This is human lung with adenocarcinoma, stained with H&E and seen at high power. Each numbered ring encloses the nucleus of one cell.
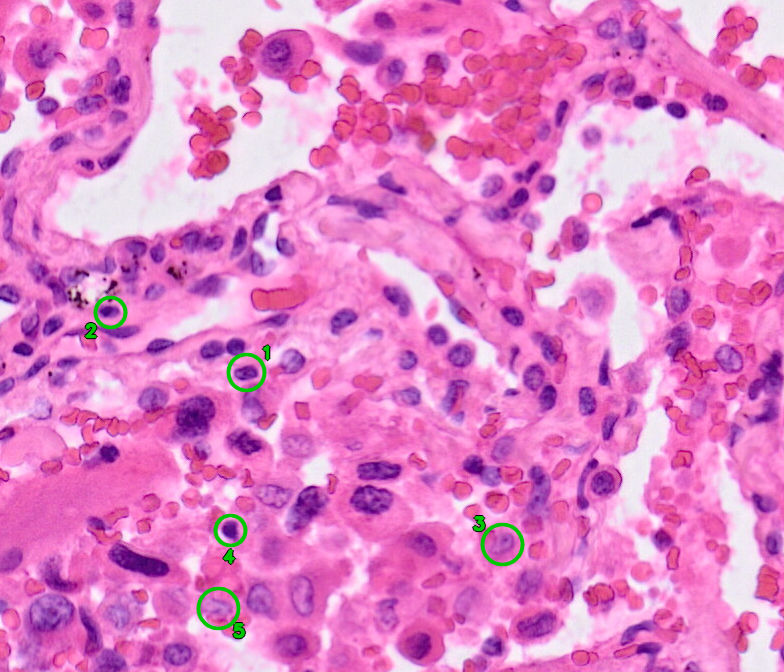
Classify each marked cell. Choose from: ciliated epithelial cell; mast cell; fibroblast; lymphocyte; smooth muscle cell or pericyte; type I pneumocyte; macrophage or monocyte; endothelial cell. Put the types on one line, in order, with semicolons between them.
lymphocyte; lymphocyte; macrophage or monocyte; lymphocyte; macrophage or monocyte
